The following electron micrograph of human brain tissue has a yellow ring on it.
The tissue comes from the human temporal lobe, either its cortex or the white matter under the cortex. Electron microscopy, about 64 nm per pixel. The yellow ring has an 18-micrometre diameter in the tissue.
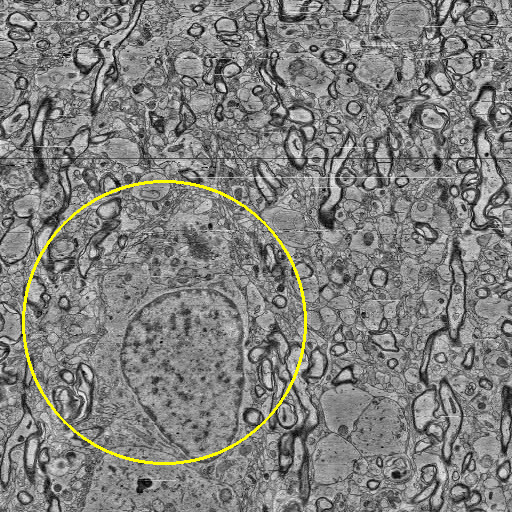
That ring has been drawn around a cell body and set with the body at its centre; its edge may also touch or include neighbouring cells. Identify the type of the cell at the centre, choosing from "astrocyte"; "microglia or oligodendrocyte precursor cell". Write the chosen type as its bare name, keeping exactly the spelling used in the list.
microglia or oligodendrocyte precursor cell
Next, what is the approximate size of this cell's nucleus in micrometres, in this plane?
In this plane, the nucleus is roughly 11 by 8 micrometres.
